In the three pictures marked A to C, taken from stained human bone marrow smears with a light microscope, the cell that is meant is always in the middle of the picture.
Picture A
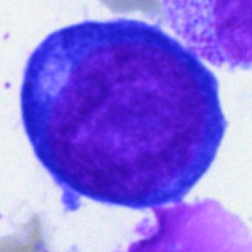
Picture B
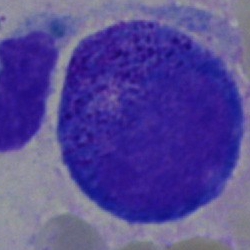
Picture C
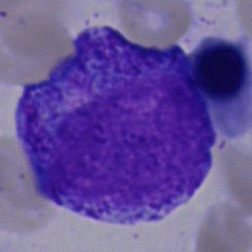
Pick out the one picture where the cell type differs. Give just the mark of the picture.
A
